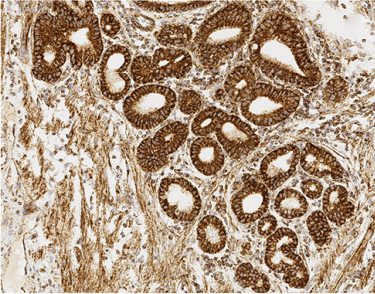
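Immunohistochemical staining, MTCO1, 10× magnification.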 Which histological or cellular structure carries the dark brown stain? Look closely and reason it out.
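Many round to irregular glands with open lumina are stained dark brown. The epithelium lining each gland is the most intensely stained. So: glandular structures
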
